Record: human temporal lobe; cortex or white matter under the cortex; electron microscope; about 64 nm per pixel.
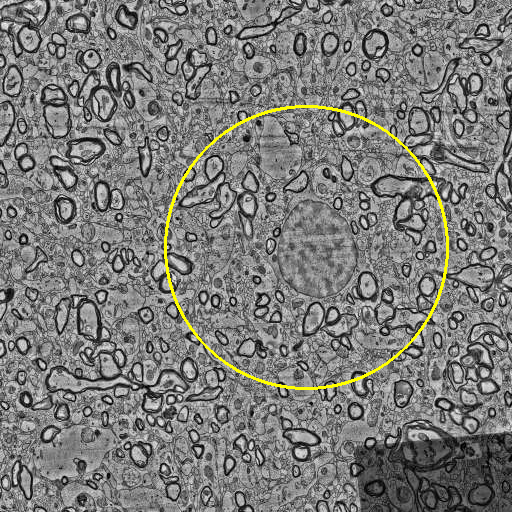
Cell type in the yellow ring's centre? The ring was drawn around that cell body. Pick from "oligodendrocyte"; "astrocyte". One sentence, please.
The ringed cell body is that of an oligodendrocyte.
